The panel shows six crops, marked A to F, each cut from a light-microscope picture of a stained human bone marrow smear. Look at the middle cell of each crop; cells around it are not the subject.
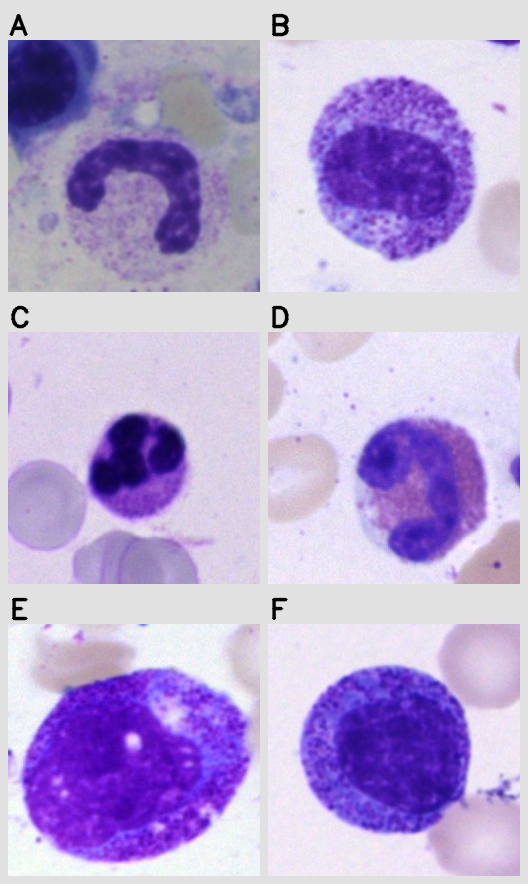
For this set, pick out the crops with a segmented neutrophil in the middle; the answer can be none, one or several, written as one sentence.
Of the crops given, crops A and C show segmented neutrophils.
